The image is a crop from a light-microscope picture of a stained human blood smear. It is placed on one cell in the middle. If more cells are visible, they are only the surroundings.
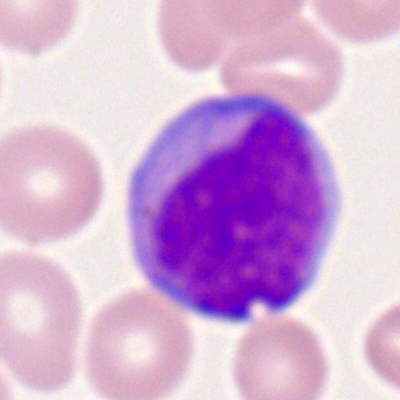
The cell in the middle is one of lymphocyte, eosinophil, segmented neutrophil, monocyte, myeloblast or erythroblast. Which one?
myeloblast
